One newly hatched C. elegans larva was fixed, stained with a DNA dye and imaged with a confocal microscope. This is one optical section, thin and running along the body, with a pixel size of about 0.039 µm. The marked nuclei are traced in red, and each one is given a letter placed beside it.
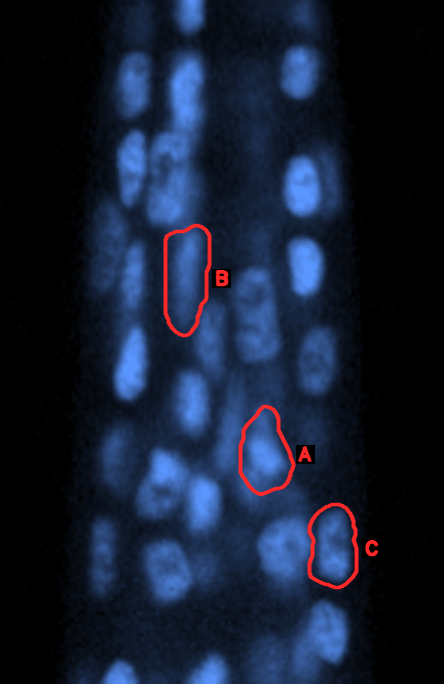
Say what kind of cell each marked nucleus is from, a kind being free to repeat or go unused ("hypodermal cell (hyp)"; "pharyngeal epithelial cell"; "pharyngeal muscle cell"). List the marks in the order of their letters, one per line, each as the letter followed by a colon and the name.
A: pharyngeal muscle cell
B: pharyngeal epithelial cell
C: hypodermal cell (hyp)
